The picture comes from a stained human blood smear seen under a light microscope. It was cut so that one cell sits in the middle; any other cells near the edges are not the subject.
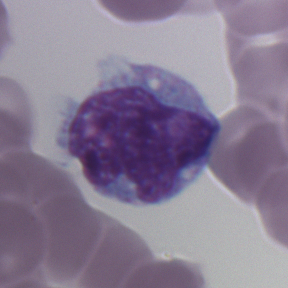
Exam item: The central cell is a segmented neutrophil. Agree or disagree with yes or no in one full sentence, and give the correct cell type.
No, the central cell is properly termed a monocyte, not a segmented neutrophil.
